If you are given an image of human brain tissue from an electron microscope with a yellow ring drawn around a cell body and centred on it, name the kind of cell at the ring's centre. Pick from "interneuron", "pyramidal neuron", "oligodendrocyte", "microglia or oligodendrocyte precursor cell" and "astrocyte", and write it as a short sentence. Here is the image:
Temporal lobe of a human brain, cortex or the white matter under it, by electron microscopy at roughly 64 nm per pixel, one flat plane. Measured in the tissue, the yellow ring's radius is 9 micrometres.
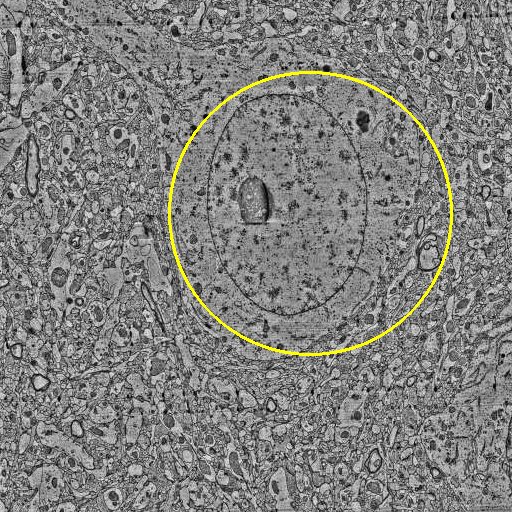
The cell at the ring's centre is a pyramidal neuron.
